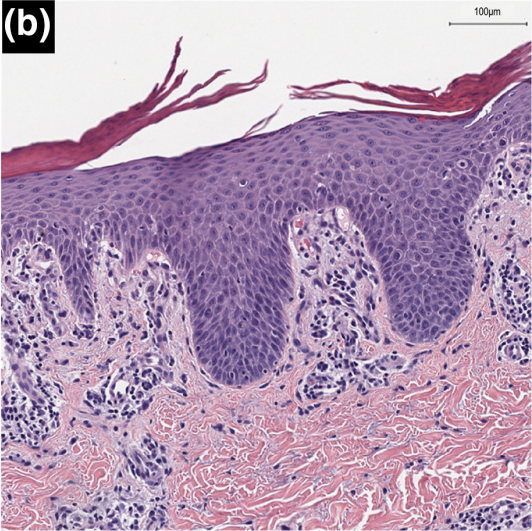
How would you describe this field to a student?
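This is a section of skin whose epidermis is thickened, with elongated, rounded rete ridges of purple-staining keratinocytes pushing down into the pink collagen of the dermis. On top, the cornified layer is split into thin layered pink sheets lifting away from the surface. The dermal papillae between the ridges hold small vessels and clusters of dark, small round inflammatory cells.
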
